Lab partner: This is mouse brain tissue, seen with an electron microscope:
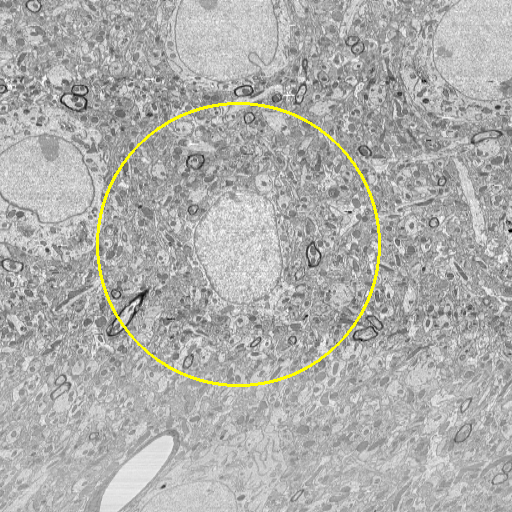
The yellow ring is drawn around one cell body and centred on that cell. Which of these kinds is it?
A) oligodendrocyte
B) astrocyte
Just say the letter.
B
